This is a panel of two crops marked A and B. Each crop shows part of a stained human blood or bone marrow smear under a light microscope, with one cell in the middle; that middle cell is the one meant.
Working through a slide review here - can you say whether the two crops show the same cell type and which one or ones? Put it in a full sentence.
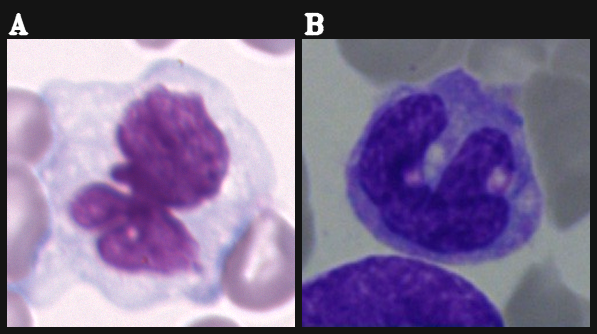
Yes, the central cells in both of the crops are monocytes.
